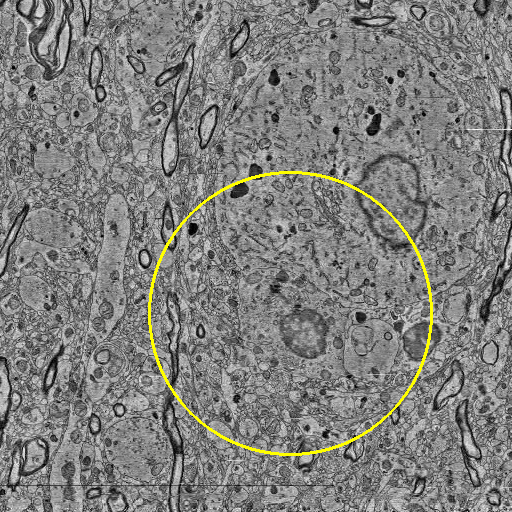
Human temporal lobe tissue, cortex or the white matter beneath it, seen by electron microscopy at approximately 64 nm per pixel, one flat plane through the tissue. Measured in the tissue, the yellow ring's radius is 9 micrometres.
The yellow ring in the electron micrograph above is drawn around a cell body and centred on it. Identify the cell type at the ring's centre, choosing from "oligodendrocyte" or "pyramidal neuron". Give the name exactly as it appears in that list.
oligodendrocyte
